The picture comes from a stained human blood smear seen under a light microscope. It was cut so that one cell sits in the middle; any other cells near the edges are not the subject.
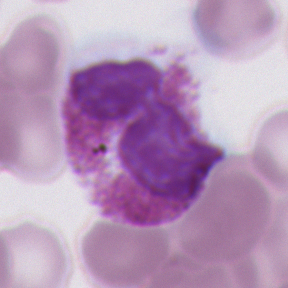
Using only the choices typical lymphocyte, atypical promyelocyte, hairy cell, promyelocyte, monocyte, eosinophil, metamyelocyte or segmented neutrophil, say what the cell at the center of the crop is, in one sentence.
The cell around which this crop is centred is an eosinophil.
